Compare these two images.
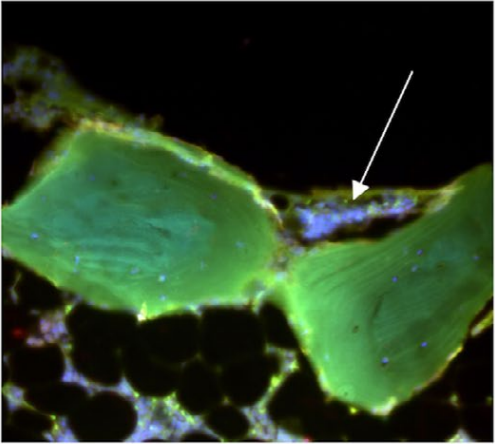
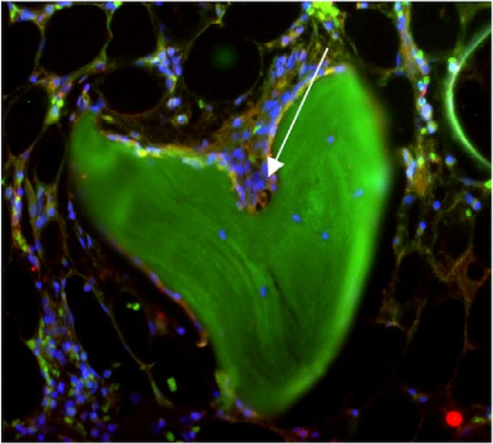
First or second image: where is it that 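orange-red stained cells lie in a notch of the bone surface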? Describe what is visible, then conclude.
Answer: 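First image: the cells beside the bone show blue nuclei without distinct red-stained cells at the bone surface. Second image: the arrowed notch in the bone contains cells with orange-red staining.
Conclusion: the second image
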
